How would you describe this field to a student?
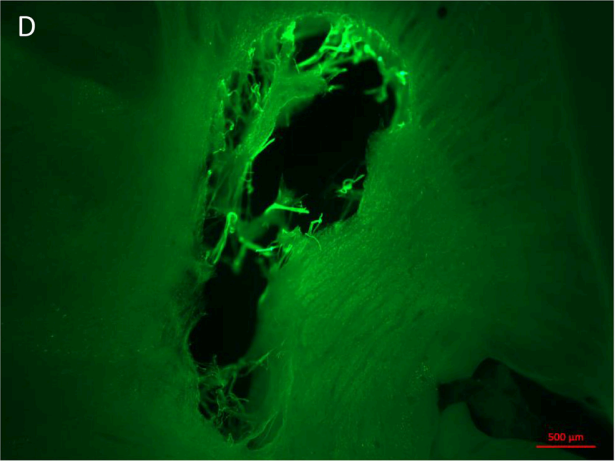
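In the middle lies a large, elongated dark cavity where the tissue is missing. Around its rim, bright green fibre strands are broken, tangled and partly hanging into the empty space. Farther away the tissue looks intact, with fainter green streaks of fibres running in a regular direction.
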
